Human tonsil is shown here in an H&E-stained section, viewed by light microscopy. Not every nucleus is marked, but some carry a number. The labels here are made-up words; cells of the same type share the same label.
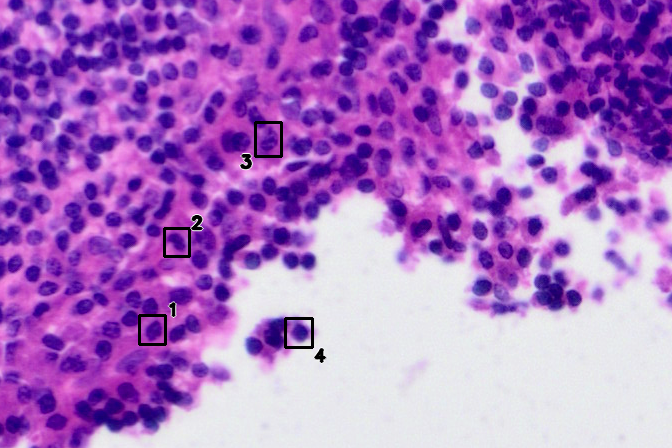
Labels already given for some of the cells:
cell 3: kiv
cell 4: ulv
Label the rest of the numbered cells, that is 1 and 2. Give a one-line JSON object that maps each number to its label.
{"1": "kiv", "2": "kiv"}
